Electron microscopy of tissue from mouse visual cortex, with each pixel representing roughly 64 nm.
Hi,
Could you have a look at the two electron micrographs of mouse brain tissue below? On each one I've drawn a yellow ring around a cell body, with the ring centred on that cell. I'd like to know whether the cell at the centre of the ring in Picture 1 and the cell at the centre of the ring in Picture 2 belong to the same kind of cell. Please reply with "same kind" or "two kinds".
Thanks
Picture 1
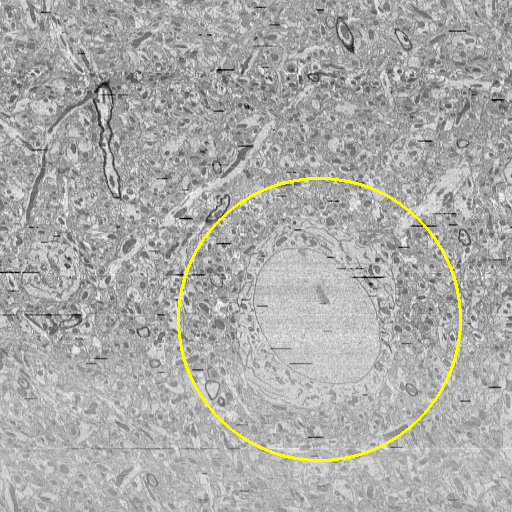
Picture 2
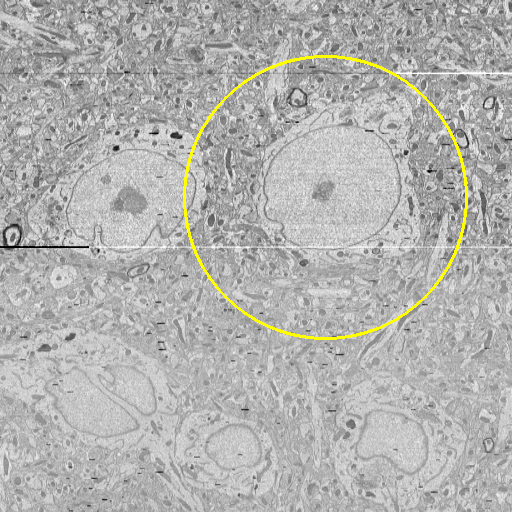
same kind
